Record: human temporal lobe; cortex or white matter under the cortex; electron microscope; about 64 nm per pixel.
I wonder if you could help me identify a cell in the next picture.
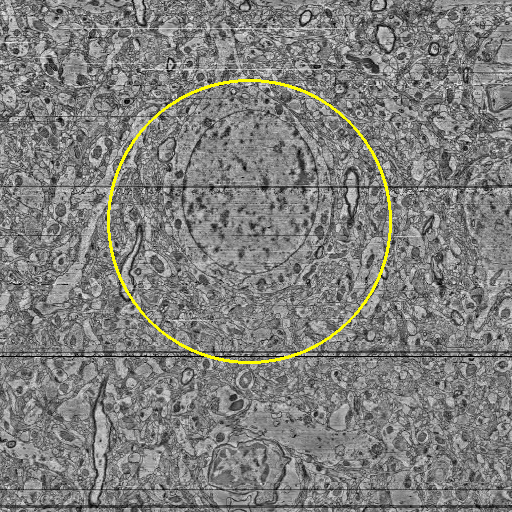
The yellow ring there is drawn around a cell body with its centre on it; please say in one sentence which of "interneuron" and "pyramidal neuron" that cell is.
The yellow ring is centred on a pyramidal neuron.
